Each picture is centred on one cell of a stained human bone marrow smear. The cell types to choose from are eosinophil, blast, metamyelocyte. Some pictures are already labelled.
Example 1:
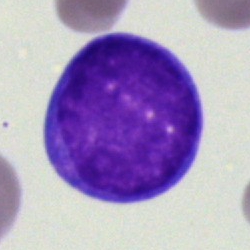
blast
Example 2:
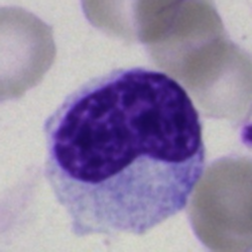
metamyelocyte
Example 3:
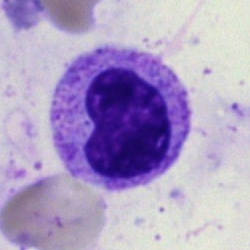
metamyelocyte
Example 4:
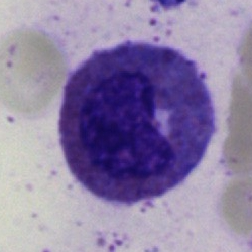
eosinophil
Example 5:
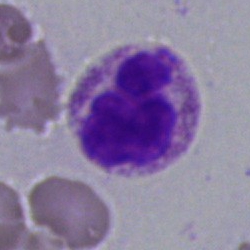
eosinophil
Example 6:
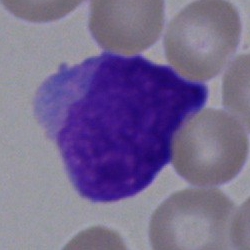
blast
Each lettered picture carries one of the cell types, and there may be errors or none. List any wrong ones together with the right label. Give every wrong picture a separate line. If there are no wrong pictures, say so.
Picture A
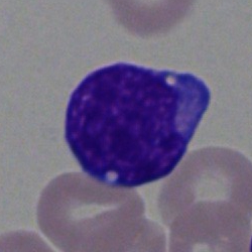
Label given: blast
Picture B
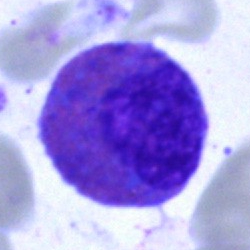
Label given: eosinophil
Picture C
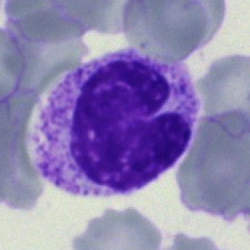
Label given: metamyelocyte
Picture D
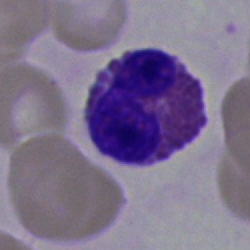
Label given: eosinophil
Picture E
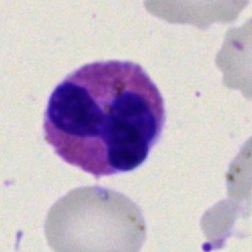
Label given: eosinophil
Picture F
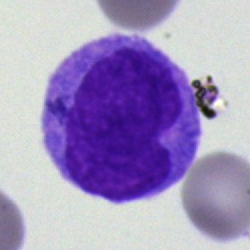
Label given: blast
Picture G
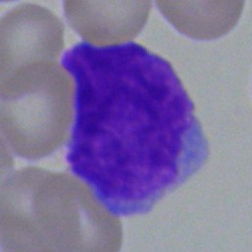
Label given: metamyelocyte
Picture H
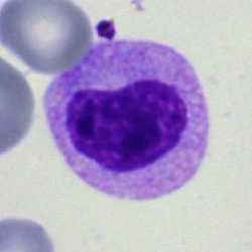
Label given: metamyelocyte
G should be blast, not metamyelocyte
